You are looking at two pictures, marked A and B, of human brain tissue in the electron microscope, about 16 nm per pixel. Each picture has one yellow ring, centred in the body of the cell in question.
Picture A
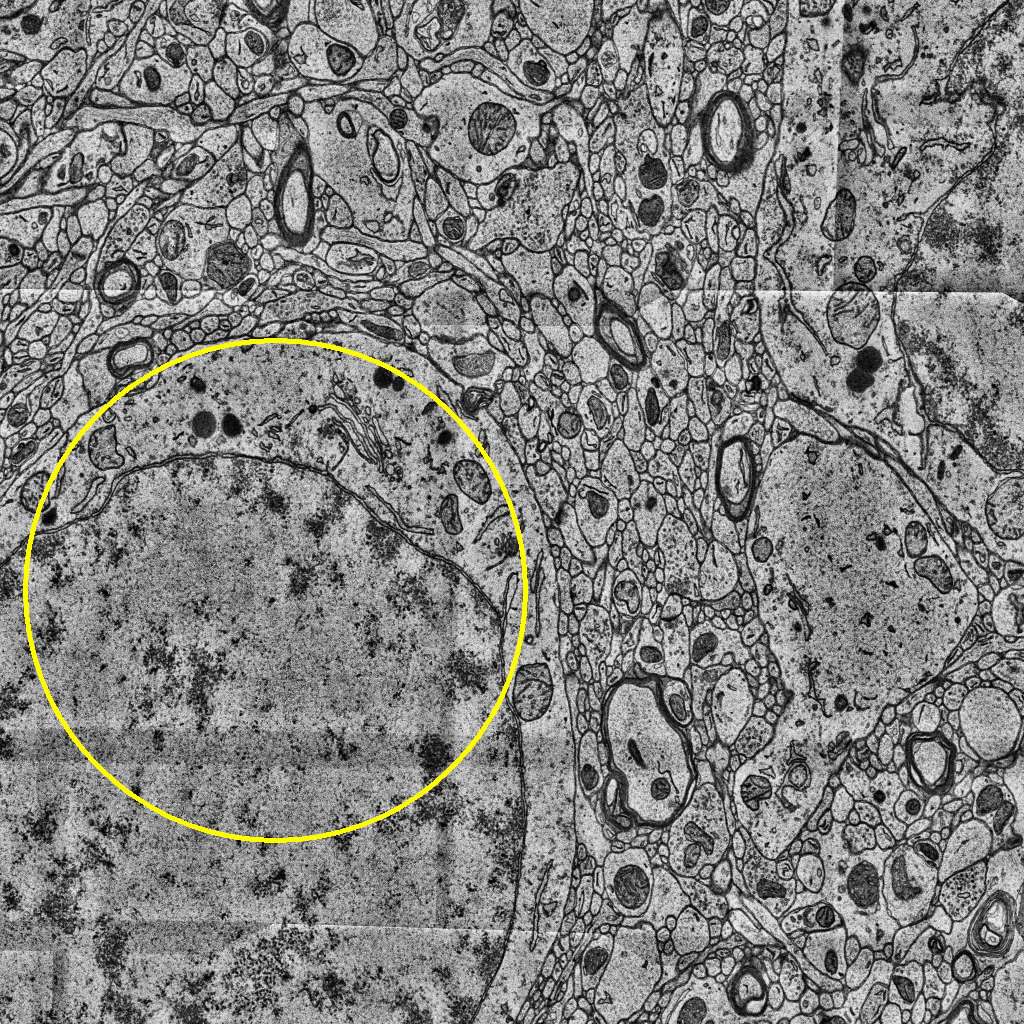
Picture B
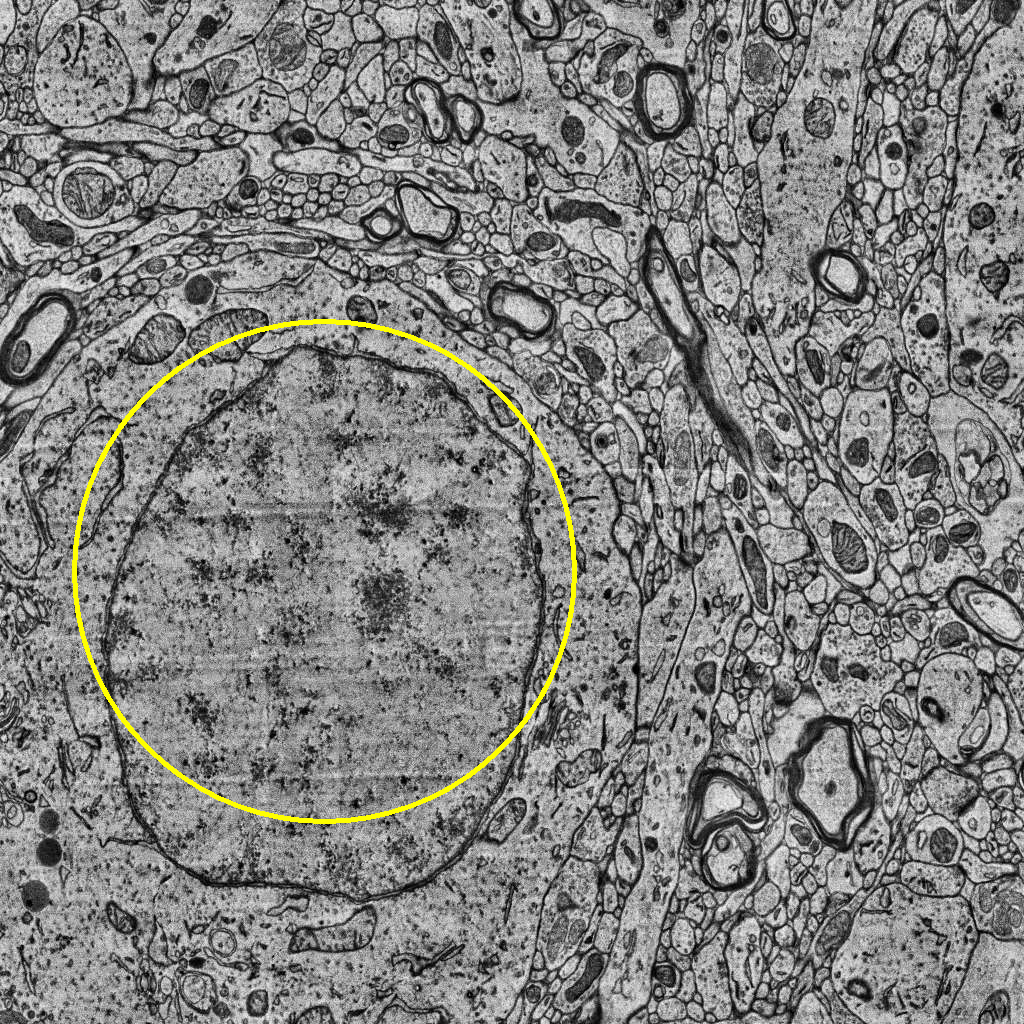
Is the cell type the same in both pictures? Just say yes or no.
yes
